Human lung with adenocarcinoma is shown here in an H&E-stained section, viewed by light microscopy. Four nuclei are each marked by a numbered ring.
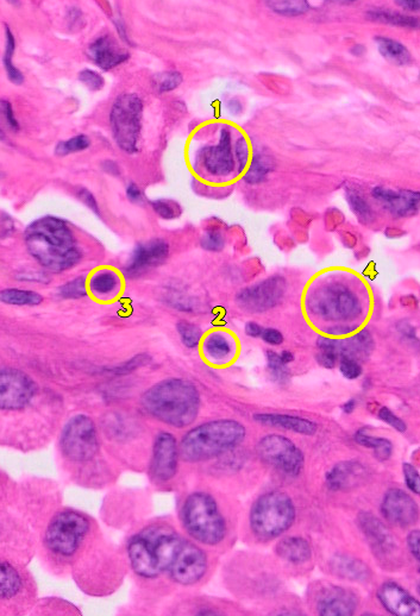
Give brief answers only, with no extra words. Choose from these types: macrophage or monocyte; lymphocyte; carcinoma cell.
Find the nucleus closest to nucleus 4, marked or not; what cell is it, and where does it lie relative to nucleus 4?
a carcinoma cell, below nucleus 4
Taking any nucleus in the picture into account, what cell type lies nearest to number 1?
carcinoma cell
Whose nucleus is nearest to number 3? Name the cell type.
macrophage or monocyte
